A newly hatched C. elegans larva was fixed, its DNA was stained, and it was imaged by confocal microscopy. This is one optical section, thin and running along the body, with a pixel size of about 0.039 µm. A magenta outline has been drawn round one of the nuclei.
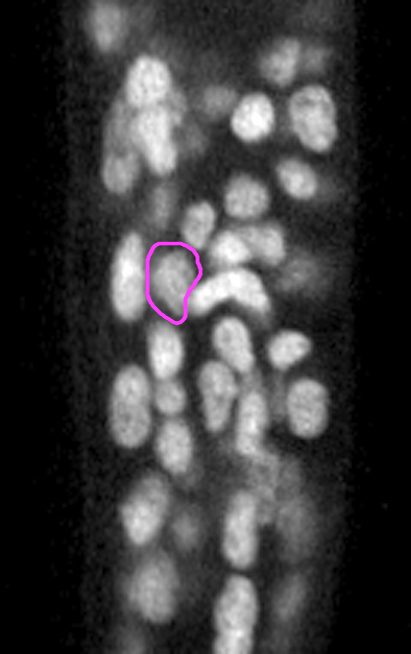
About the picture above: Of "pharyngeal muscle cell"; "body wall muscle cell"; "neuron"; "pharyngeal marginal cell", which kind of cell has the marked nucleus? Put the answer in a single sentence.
What is marked is the nucleus of a pharyngeal marginal cell.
